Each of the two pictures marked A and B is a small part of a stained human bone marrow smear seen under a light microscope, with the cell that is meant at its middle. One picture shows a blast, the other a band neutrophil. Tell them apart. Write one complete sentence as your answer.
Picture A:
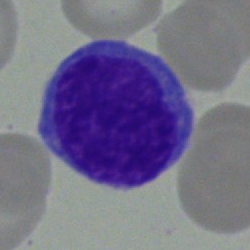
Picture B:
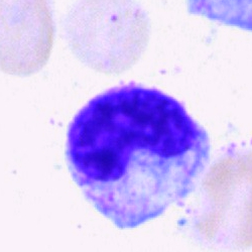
In picture A the cell is a blast; in picture B, a band neutrophil.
